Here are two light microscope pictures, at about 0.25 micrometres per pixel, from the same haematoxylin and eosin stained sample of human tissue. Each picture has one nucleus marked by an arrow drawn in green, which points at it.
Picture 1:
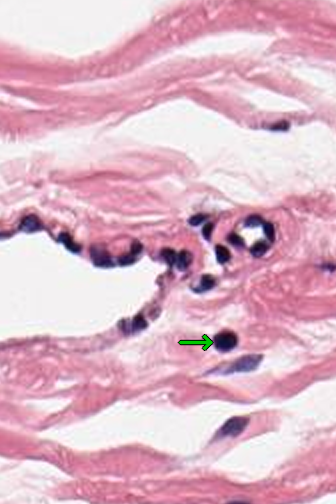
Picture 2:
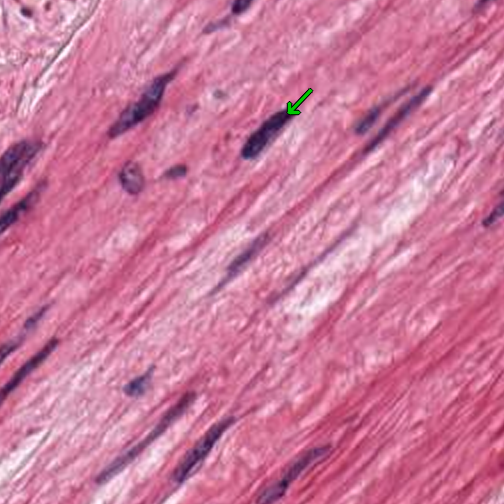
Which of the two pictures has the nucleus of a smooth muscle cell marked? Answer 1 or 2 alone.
2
